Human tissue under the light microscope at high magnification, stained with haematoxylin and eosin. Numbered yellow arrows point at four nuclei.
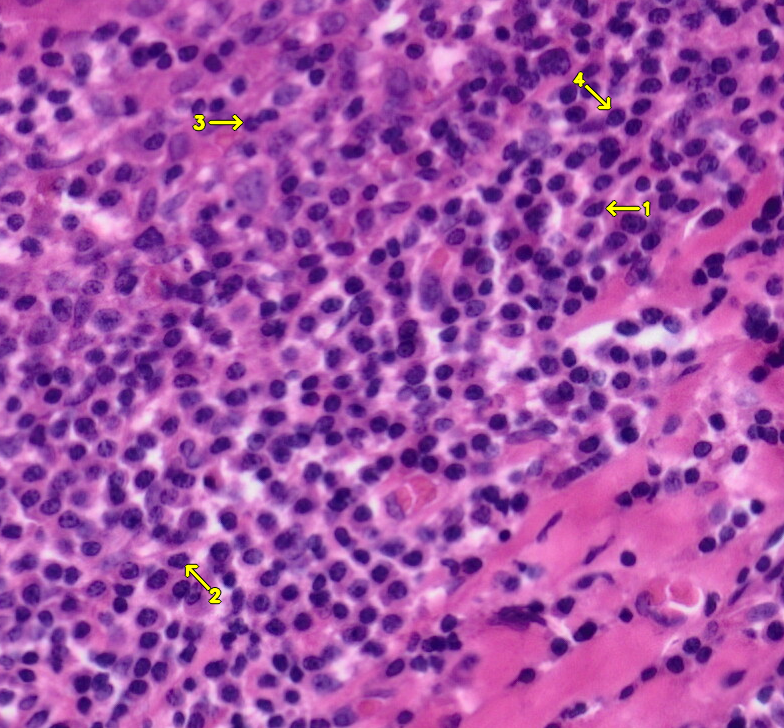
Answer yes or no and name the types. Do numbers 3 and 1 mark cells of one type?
No, while cell 3 is a squamous epithelial cell, cell 1 is a plasma cell.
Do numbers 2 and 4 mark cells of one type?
Yes, and to be precise, cells 2 and 4 are both plasma cells.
